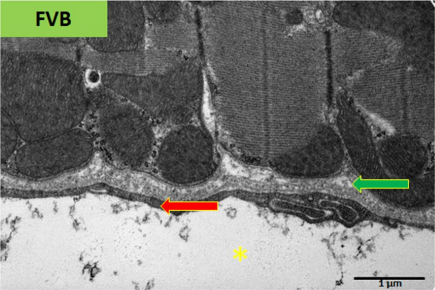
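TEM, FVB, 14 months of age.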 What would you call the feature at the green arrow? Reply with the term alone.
Basal lamina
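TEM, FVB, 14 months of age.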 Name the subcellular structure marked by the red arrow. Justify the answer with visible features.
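The arrow points to a thin cell layer lining a wide pale lumen. This thin layer separates the lumen from the adjacent muscle cell. On this evidence: endothelium.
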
